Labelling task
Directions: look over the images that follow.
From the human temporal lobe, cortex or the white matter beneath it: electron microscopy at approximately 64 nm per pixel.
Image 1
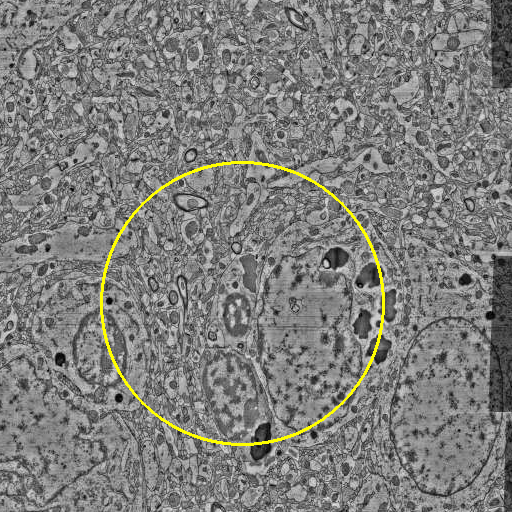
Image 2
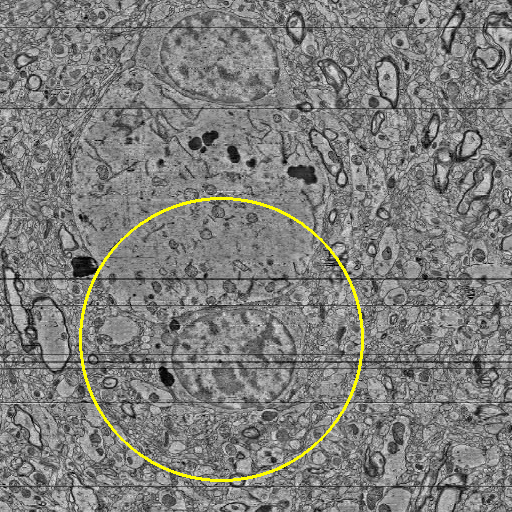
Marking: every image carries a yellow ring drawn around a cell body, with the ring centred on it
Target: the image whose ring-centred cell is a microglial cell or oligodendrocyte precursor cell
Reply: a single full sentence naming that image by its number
The requested cell sits at the ring's centre in Image 1.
